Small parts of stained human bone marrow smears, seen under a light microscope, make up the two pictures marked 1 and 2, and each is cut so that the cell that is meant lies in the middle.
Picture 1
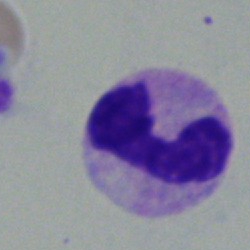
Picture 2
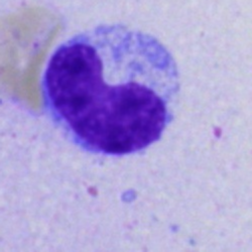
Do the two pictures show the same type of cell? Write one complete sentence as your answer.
No, they differ: the cell is a band neutrophil in picture 1 and a metamyelocyte in picture 2.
